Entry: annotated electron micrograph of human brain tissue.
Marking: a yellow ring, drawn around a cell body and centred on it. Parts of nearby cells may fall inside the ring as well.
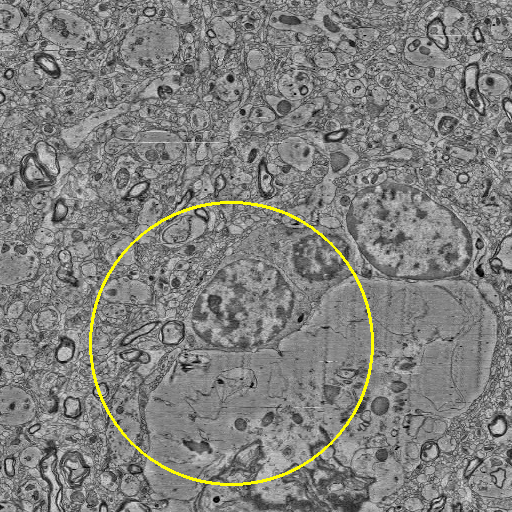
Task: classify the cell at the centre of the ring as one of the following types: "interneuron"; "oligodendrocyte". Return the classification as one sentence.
The marked cell is classified as an oligodendrocyte.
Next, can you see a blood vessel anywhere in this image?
Yes, one shows.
